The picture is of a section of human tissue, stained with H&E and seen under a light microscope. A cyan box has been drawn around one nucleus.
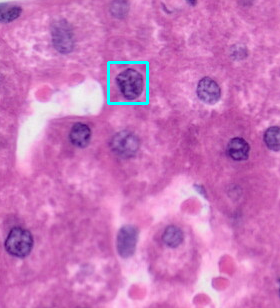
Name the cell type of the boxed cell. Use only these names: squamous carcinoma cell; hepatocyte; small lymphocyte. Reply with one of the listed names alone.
hepatocyte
